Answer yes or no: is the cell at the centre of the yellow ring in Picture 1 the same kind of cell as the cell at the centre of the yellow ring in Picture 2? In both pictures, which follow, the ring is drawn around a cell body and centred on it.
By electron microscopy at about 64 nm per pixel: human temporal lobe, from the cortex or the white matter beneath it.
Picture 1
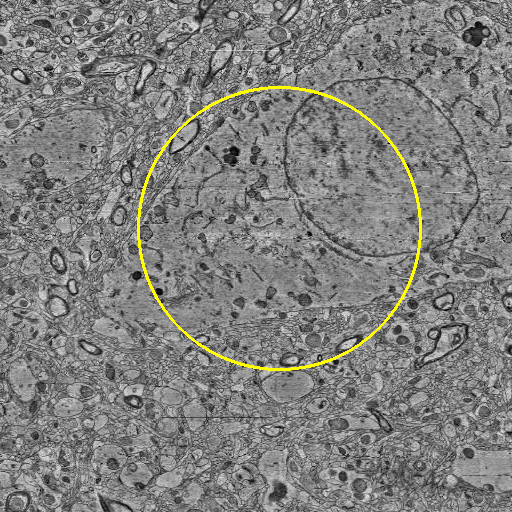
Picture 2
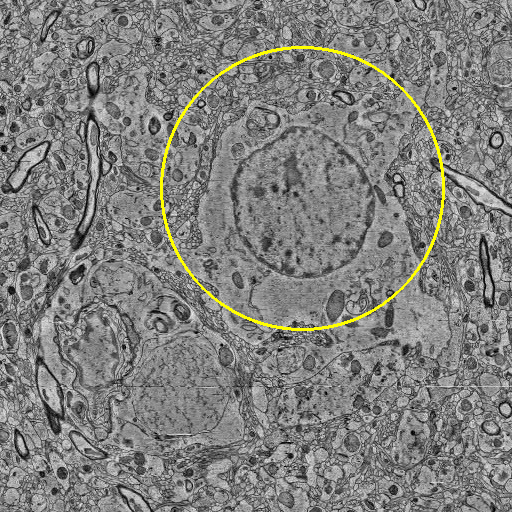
no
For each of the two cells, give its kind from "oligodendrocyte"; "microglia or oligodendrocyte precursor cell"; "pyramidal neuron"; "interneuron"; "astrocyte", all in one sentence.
The first picture has a pyramidal neuron in its ring, the second has an astrocyte.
